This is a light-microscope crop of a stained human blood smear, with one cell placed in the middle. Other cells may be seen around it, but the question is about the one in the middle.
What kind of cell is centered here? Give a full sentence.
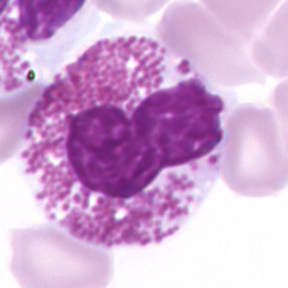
The cell in the middle of this crop is an eosinophil.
